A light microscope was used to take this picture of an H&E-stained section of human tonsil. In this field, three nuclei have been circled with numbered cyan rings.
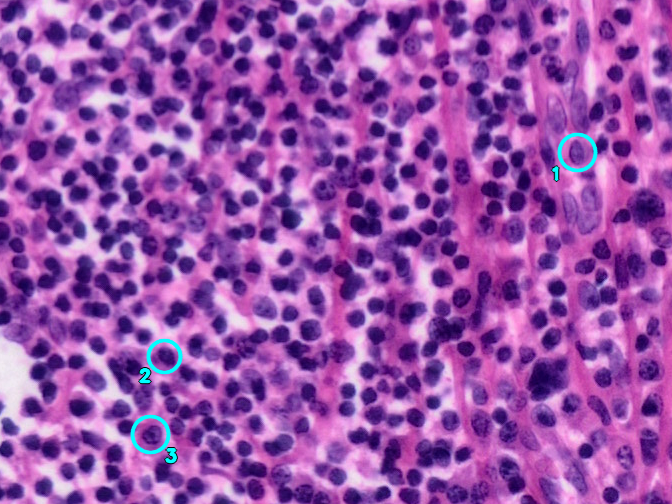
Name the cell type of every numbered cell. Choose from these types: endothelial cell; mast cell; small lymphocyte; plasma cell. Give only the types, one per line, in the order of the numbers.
endothelial cell
plasma cell
plasma cell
